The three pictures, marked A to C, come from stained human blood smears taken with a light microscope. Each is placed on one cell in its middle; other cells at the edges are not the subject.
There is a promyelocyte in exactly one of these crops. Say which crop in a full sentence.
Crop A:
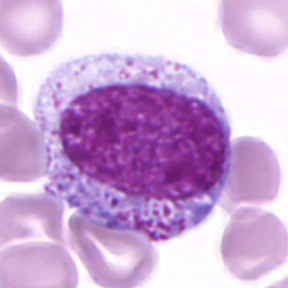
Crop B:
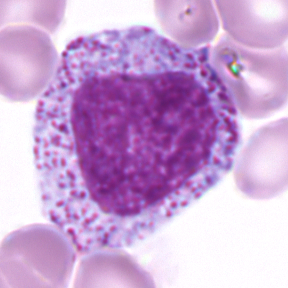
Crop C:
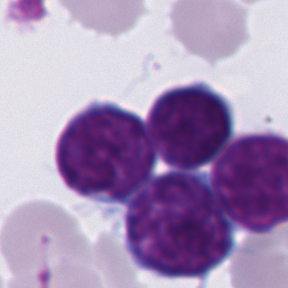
Crop A is the one in this set that shows a promyelocyte.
